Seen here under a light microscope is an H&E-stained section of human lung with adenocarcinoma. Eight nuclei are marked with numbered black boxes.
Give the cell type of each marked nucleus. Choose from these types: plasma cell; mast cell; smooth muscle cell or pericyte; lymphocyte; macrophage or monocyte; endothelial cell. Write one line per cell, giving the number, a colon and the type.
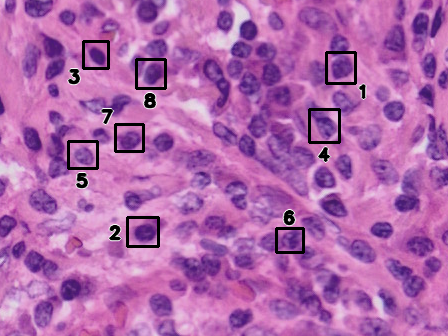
1: lymphocyte
2: plasma cell
3: plasma cell
4: lymphocyte
5: lymphocyte
6: lymphocyte
7: plasma cell
8: plasma cell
